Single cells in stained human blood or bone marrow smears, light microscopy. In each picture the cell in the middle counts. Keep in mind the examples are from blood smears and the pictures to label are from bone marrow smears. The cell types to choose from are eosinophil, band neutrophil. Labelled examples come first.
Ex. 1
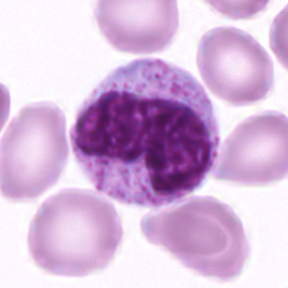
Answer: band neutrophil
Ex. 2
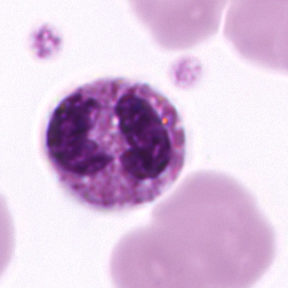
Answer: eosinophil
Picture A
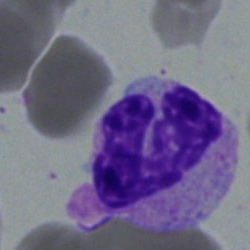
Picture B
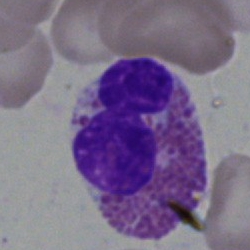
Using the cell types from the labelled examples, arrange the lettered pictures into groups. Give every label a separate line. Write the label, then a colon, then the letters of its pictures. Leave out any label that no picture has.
eosinophil: B
band neutrophil: A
